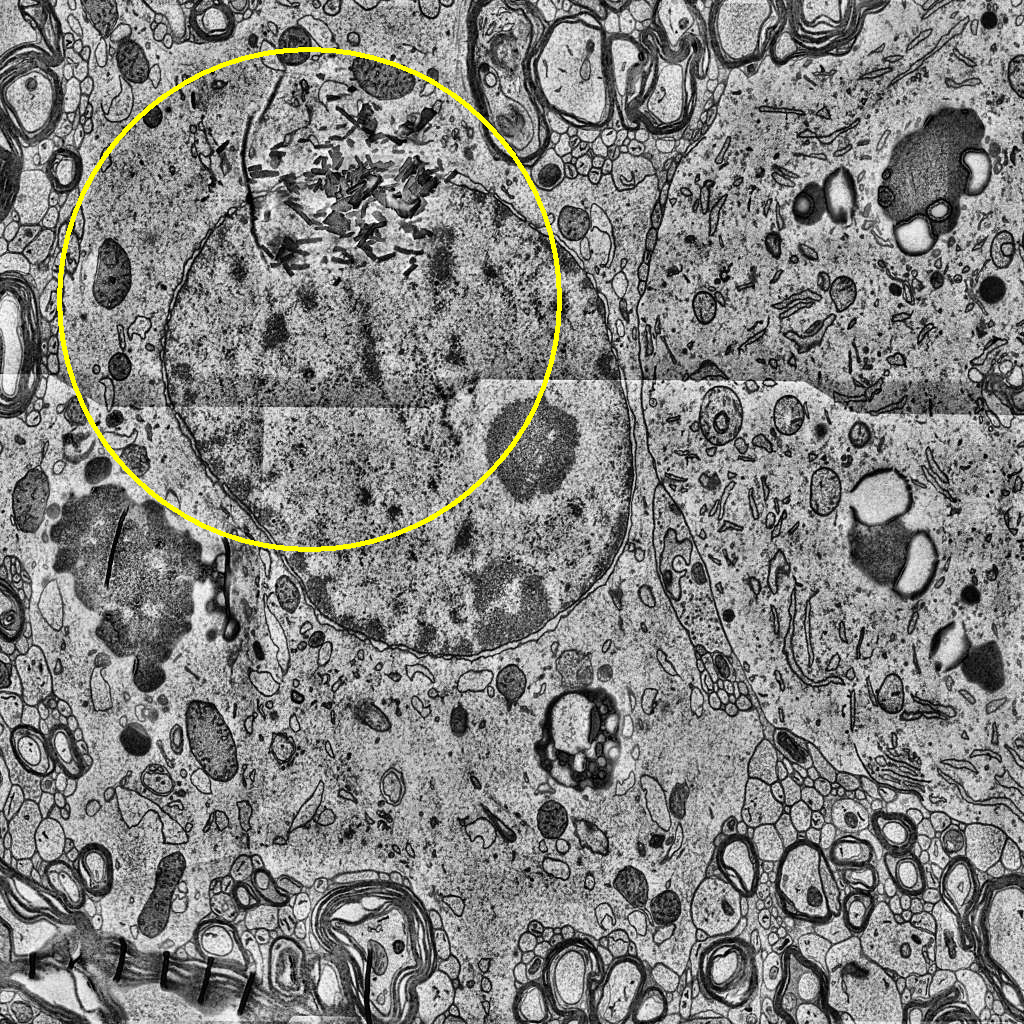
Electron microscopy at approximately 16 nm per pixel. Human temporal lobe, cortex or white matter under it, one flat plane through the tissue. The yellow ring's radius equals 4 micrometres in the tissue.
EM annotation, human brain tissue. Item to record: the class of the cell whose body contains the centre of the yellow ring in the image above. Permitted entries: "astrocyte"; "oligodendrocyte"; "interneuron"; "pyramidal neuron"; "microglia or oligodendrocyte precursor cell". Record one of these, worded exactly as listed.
astrocyte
